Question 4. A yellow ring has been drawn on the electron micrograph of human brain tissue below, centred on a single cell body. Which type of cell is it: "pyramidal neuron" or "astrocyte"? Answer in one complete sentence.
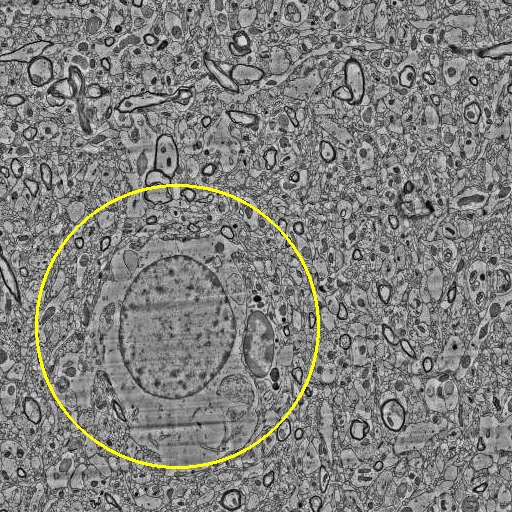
This cell body belongs to an astrocyte.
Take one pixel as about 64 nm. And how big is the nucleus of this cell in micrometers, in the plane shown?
In this plane, the nucleus is roughly 9 by 7 micrometres.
